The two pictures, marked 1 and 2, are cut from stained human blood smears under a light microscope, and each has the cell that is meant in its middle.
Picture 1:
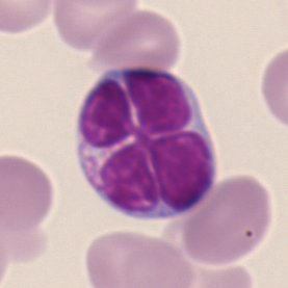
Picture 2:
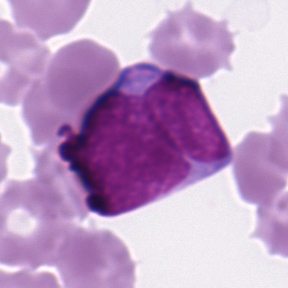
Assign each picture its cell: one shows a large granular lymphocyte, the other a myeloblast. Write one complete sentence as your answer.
Picture 1 is of a large granular lymphocyte, and picture 2 is of a myeloblast.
